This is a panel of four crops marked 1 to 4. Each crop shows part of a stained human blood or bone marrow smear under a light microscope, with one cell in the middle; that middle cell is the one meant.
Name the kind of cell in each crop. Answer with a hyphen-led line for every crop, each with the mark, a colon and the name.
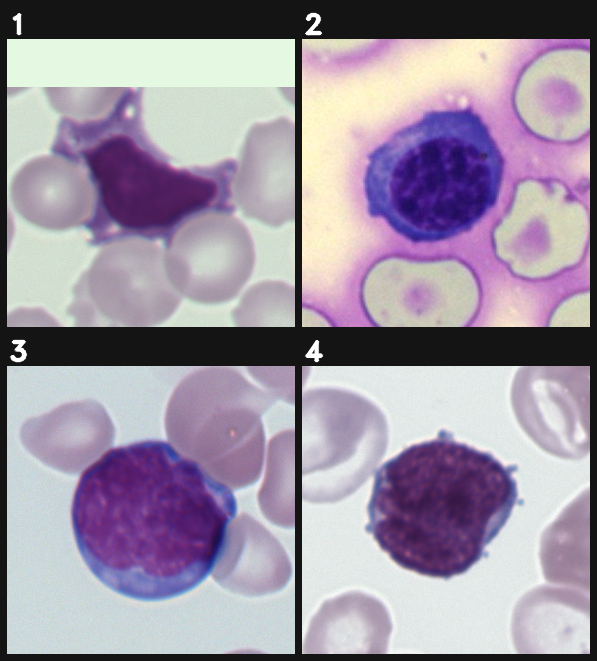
- 1: lymphocyte
- 2: erythroblast
- 3: blast
- 4: blast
